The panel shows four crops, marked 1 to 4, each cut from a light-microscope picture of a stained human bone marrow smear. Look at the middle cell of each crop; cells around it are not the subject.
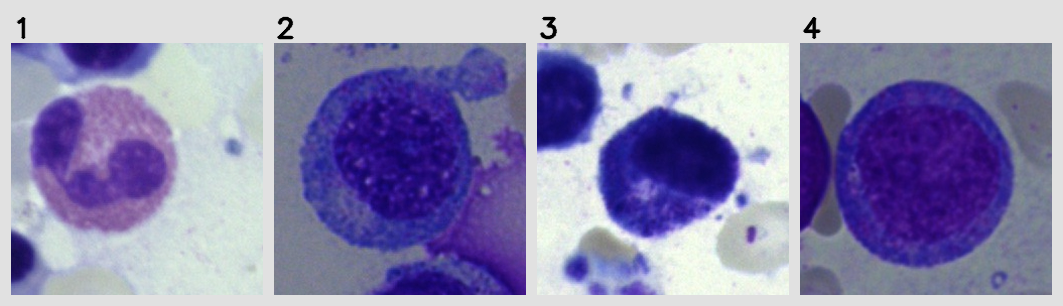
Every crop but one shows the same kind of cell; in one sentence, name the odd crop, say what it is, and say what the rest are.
The exception is crop 1, with an eosinophil; the remaining crops all show promyelocytes.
